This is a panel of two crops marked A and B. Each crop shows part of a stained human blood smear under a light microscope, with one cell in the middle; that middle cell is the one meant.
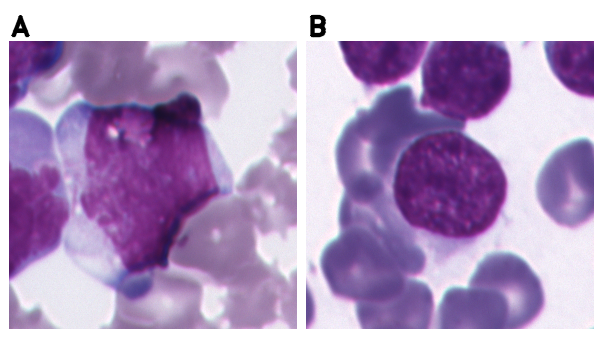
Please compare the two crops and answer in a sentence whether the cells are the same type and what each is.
Yes, myeloblasts are depicted in both crops.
